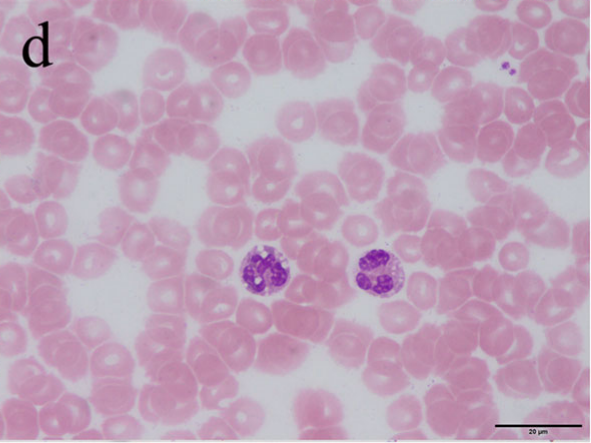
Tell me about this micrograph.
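This is a peripheral blood smear with a dense field of pale pink red blood cells showing central pallor. Two white blood cells lie near the centre, each with a lobed, dark purple nucleus. Their cytoplasm appears mottled with small pale spaces. A few tiny purple platelets are seen at the edge of the field.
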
